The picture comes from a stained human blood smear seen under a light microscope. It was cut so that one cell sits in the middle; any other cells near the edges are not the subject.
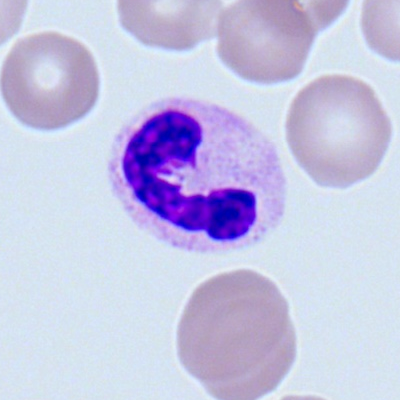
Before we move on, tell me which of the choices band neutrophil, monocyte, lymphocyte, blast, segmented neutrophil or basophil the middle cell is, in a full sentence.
In the crop, the cell of interest at the centre is a band neutrophil.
